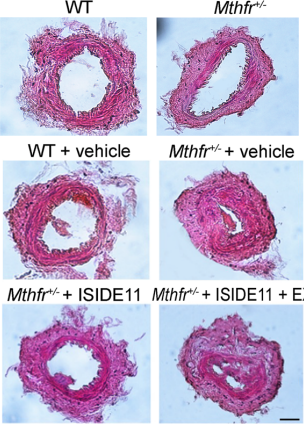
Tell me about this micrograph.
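These are cross-sections of an artery, each showing a ring-shaped wall around a central lumen, stained in shades of pink and red. The wall is built of several concentric, wavy layers packed with elongated cells, which give it a laminated look. Around the outside lies a looser, paler, more fibrous coat that frays into the surrounding tissue. In some sections the lumen is wide and clear, while in others it is narrowed or partly filled by pink material lying against the inner surface of the wall.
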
